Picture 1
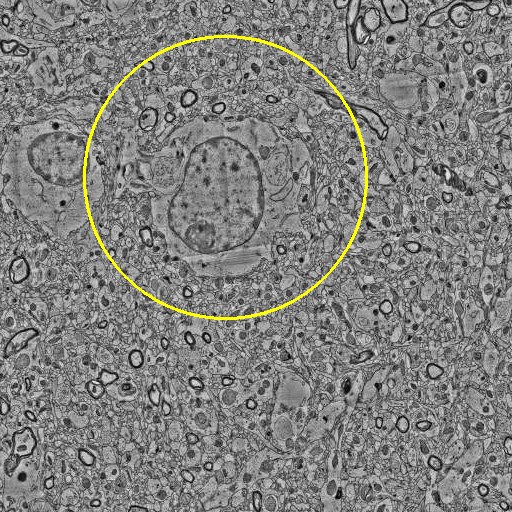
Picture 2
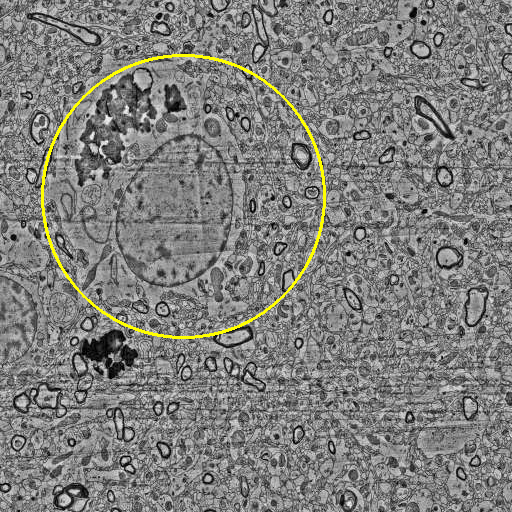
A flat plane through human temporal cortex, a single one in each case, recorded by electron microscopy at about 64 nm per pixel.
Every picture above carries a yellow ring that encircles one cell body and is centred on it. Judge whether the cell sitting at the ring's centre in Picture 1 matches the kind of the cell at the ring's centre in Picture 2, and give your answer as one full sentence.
Yes, the cells centred in the rings of Pictures 1 and 2 belong to one kind.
